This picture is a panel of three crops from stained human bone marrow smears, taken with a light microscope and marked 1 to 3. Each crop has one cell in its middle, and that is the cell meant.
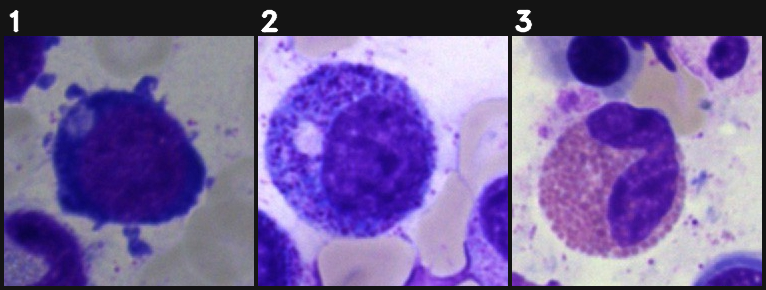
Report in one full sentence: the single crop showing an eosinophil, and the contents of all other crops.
The cell in crop 3 is an eosinophil, while crop 1 is a proerythroblast and crop 2 is a promyelocyte.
